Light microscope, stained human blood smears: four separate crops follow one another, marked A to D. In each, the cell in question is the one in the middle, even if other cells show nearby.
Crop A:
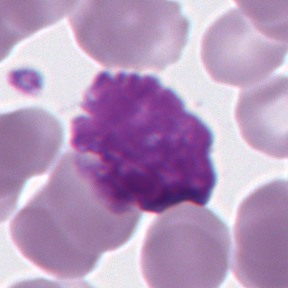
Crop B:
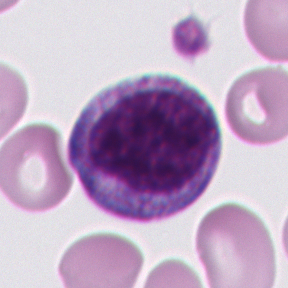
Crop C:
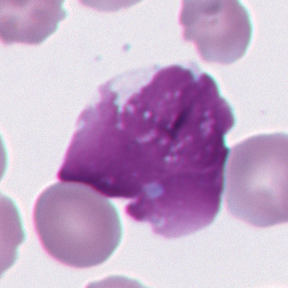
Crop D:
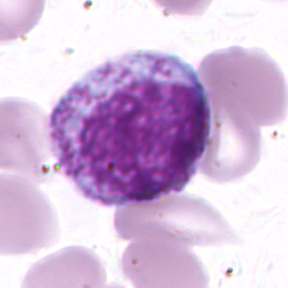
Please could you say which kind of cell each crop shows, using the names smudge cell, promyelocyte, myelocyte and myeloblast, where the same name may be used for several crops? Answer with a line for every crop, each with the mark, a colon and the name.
A: smudge cell
B: myelocyte
C: smudge cell
D: myelocyte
